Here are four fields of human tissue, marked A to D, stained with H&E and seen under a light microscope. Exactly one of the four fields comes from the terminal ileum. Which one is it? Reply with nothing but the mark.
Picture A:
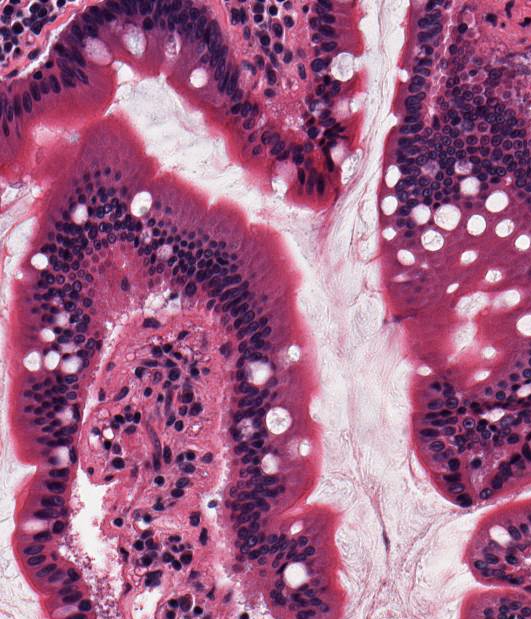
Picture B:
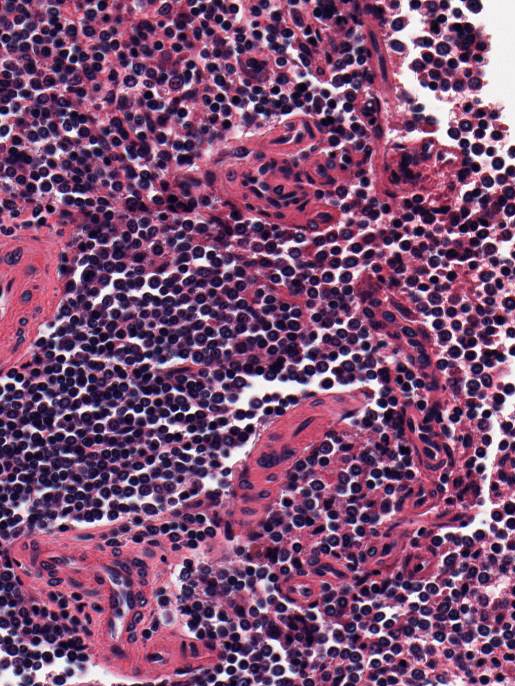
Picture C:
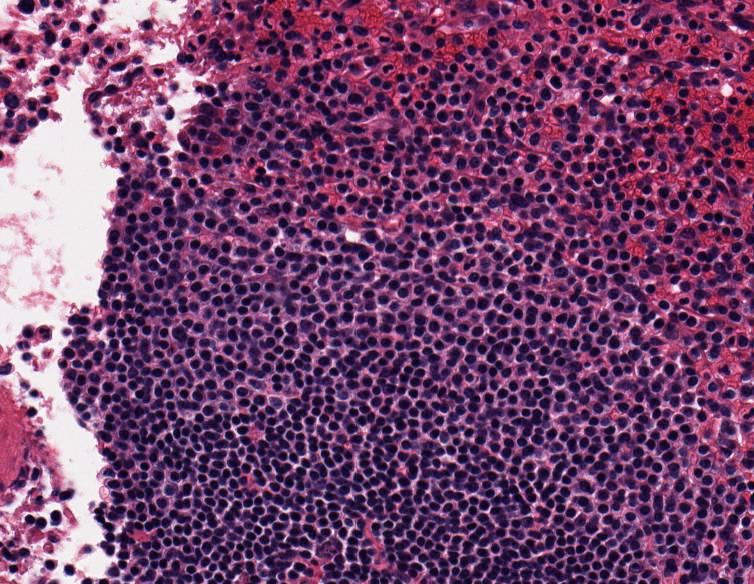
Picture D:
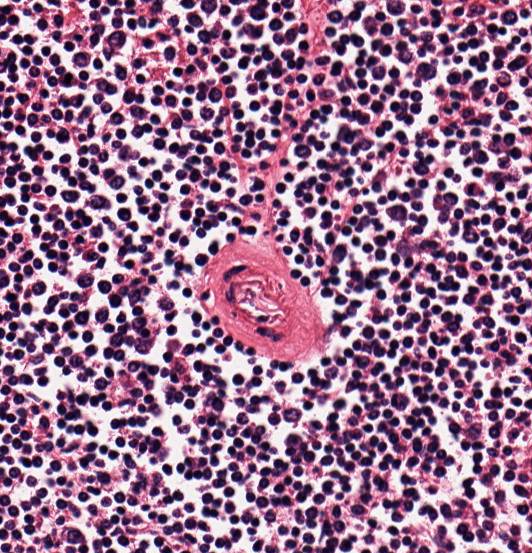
A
